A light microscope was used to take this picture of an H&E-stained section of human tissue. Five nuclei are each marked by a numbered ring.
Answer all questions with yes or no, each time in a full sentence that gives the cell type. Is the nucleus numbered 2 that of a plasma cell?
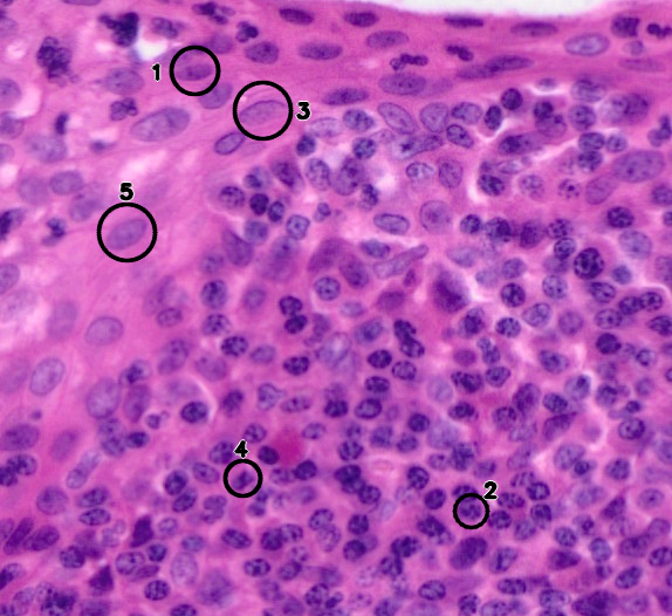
Yes, cell number 2 is classified as a plasma cell.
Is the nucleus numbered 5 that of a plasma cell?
No, the cell indicated by 5 is a squamous epithelial cell instead of a plasma cell.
